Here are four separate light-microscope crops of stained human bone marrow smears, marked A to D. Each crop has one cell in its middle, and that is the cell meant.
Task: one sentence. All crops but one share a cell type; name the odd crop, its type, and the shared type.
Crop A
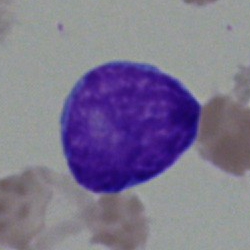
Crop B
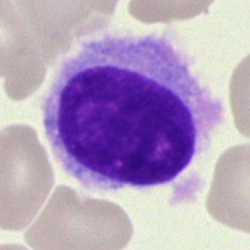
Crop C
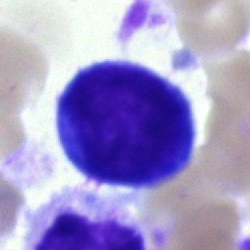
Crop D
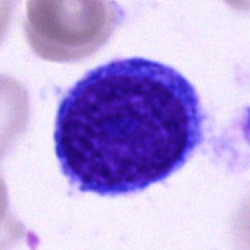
The others are all blasts; crop B is a hairy cell.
